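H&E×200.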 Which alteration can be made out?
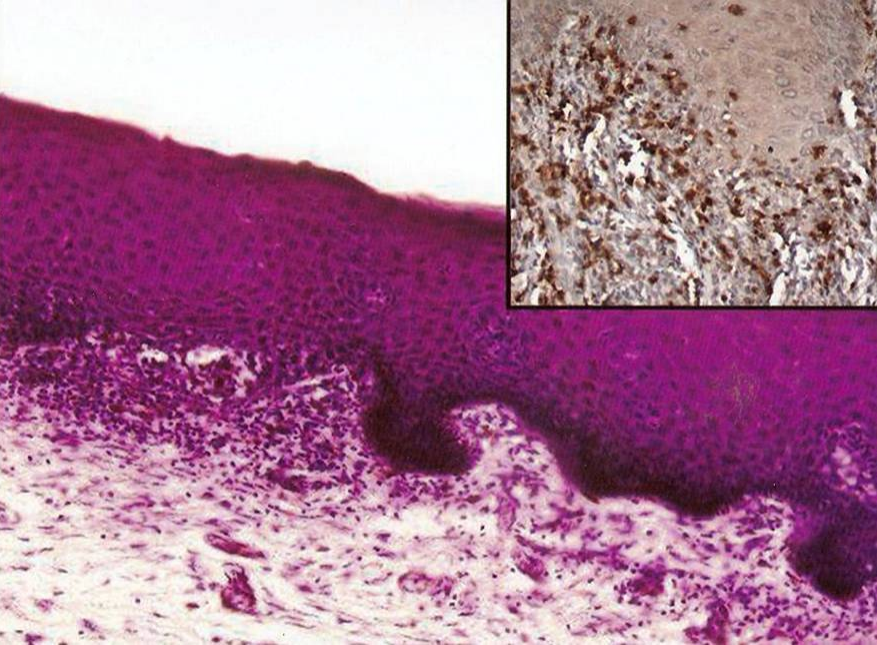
Lymphocytic infiltrate.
